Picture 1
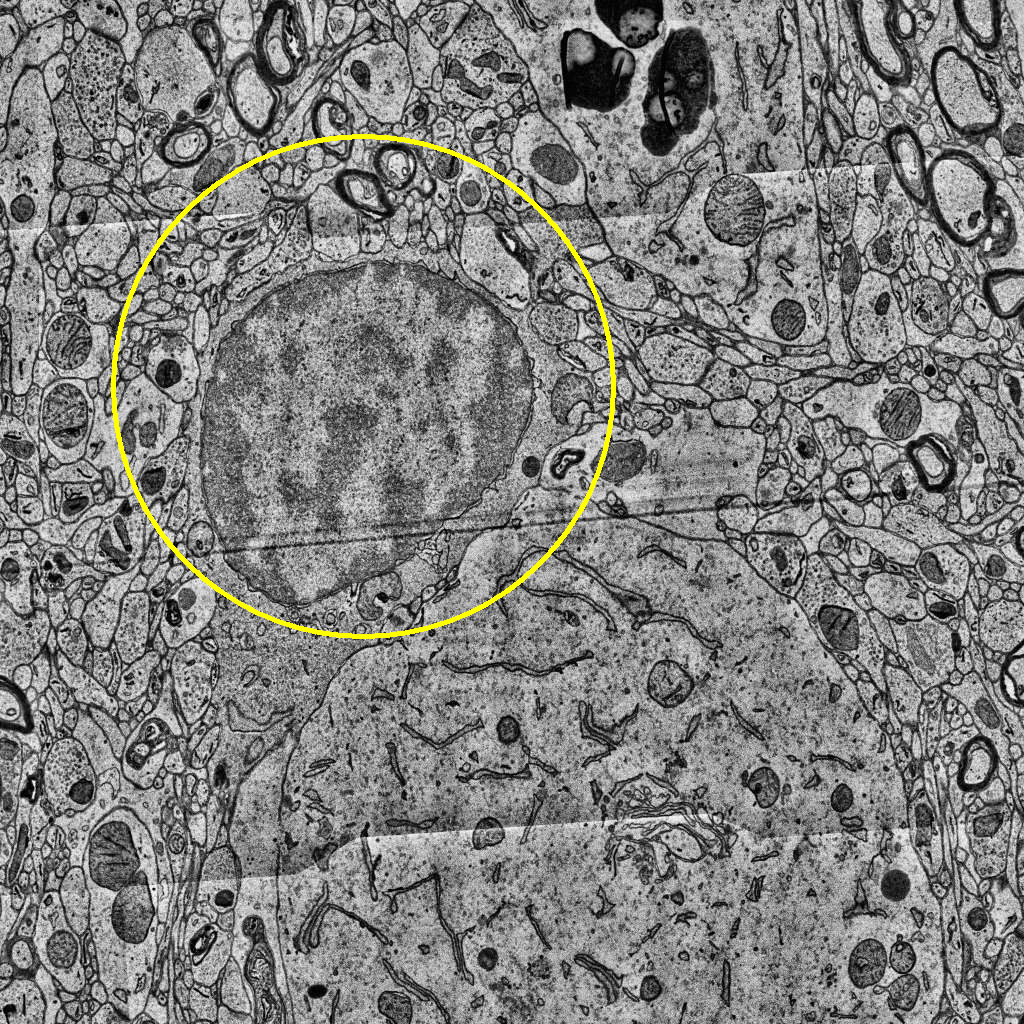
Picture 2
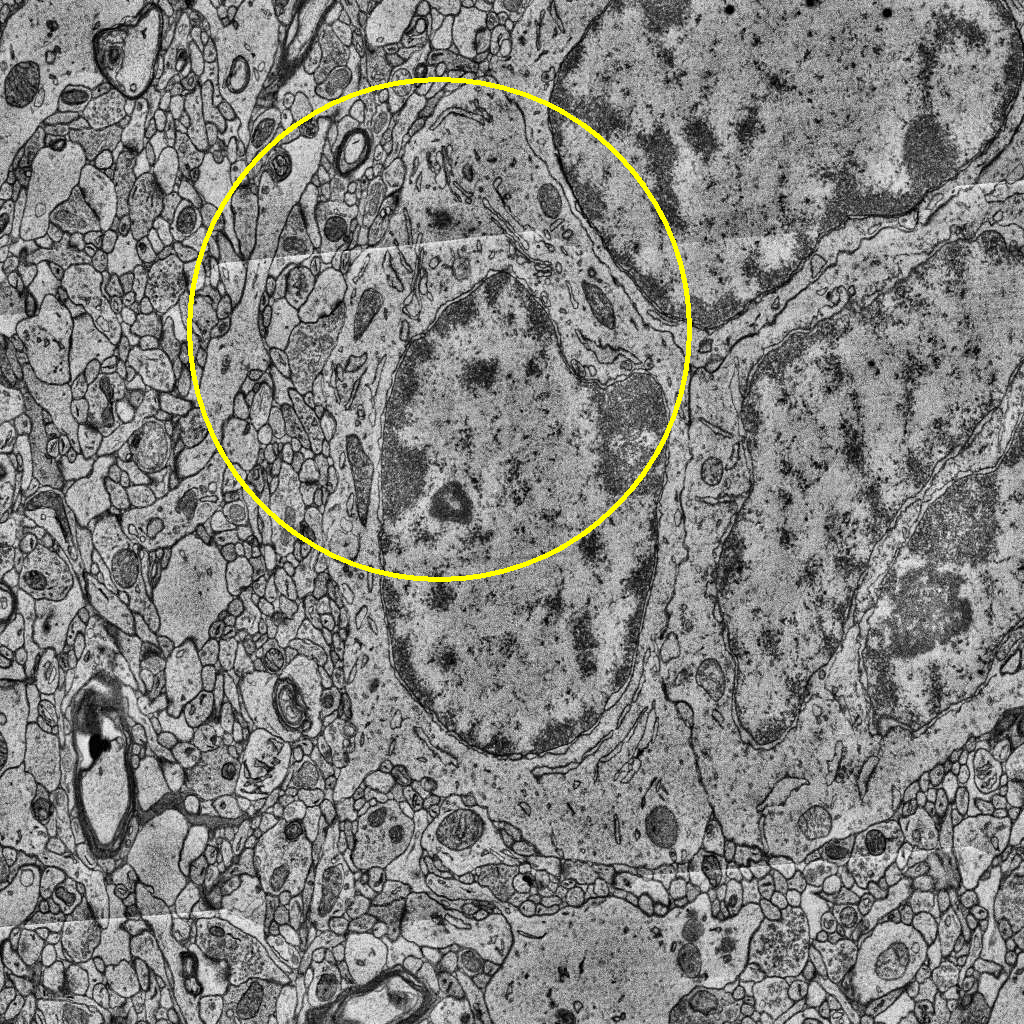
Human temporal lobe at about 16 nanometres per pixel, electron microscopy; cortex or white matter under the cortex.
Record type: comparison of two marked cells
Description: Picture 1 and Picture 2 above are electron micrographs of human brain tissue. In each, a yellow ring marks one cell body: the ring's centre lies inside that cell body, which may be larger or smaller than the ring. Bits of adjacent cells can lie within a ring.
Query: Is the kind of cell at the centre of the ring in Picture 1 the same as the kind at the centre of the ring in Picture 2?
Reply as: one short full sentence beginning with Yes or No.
No, the two cells at the ring centres are of two separate kinds.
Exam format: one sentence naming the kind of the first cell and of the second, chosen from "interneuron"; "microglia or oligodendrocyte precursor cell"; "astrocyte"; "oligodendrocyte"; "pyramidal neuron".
For the first picture it is an oligodendrocyte; for the second, a microglial cell or oligodendrocyte precursor cell.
